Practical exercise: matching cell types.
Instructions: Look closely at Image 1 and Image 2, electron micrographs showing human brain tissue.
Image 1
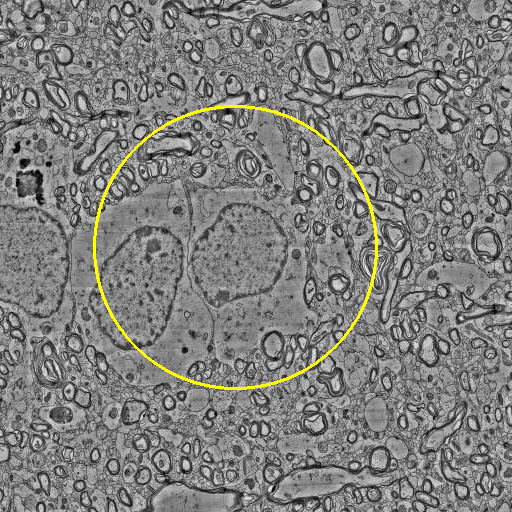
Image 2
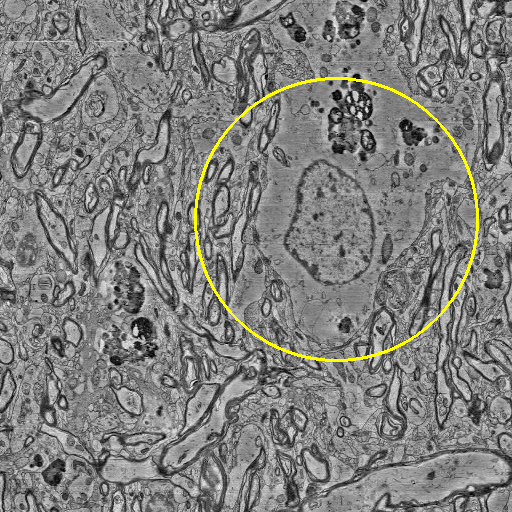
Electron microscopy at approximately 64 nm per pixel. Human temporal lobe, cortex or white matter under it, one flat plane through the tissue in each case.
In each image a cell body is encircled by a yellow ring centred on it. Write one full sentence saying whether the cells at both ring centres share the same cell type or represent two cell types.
Across Image 1 and Image 2, the cells at the ring centres share the same cell type.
